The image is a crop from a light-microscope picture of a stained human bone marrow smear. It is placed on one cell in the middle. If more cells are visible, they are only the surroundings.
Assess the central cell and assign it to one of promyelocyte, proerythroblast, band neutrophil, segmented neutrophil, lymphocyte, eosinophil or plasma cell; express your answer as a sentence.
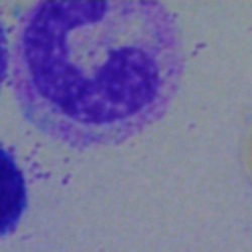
Classification of the middle cell gives a band neutrophil.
